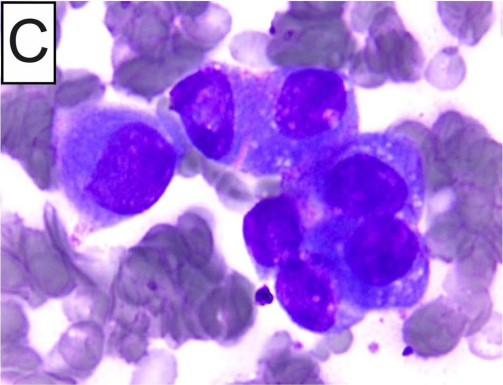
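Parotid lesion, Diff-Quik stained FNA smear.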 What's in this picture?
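A loose cluster of large epithelial cells lies among pale red blood cells. The cells have large, dark purple, round to oval nuclei and ample blue, granular cytoplasm.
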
